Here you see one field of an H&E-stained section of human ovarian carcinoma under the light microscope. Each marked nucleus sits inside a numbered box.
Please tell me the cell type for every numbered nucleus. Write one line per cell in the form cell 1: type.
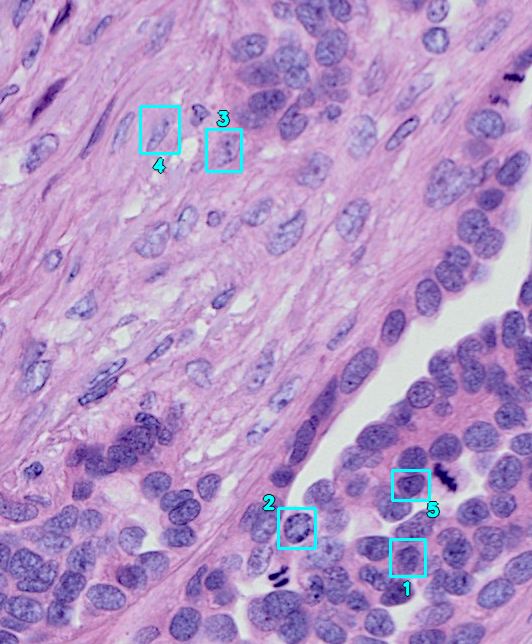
cell 1: carcinoma cell
cell 2: macrophage or monocyte
cell 3: fibroblast
cell 4: fibroblast
cell 5: carcinoma cell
